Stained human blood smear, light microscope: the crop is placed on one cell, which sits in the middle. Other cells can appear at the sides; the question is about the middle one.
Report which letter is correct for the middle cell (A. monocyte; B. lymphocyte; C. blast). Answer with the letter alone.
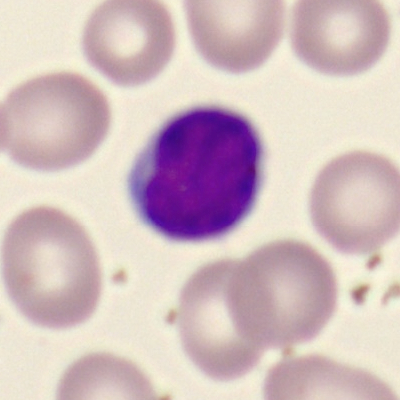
B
